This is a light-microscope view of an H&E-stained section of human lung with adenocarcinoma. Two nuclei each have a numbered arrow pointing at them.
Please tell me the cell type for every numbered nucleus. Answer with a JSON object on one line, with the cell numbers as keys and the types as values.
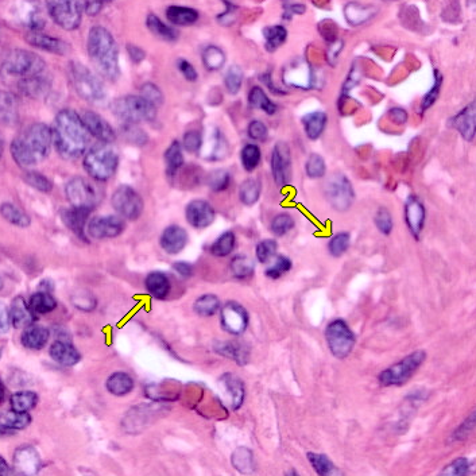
{"1": "plasma cell", "2": "mast cell"}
